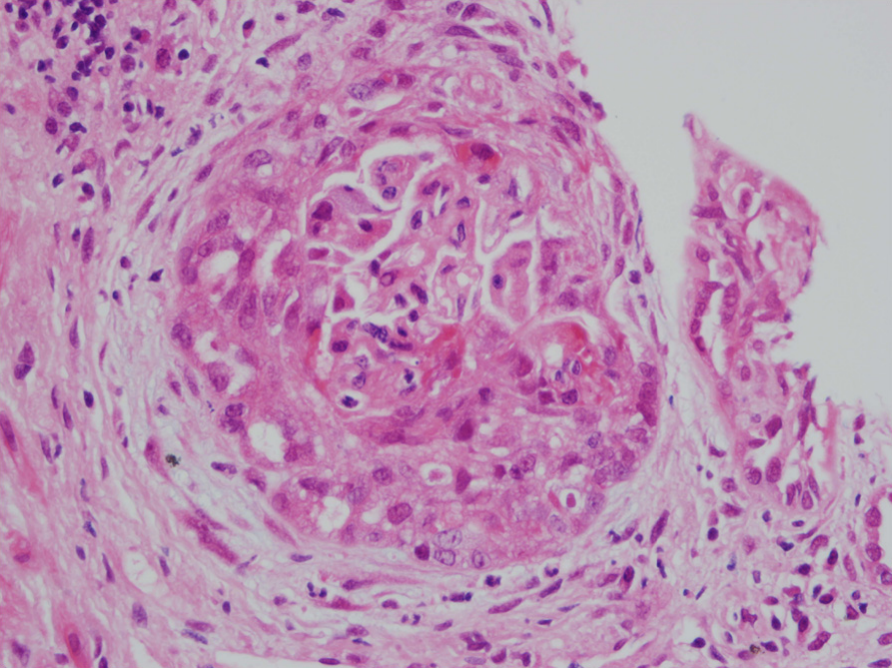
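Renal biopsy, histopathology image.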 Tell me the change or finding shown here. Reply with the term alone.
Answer: circumferential cellular crescent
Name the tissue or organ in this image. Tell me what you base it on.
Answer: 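A round, lobulated tuft of capillary loops sits in the centre. The tuft is enclosed by a rounded capsule-like boundary set in surrounding interstitium. On this evidence: glomerulus.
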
